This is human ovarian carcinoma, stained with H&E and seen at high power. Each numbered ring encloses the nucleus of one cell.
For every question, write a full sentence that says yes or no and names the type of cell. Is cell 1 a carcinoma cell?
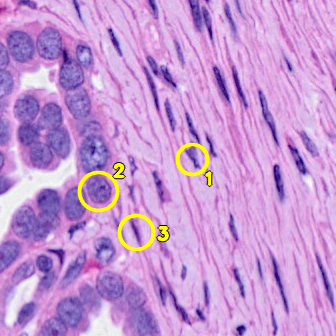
No, the cell given the number 1 is a fibroblast, so not a carcinoma cell.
